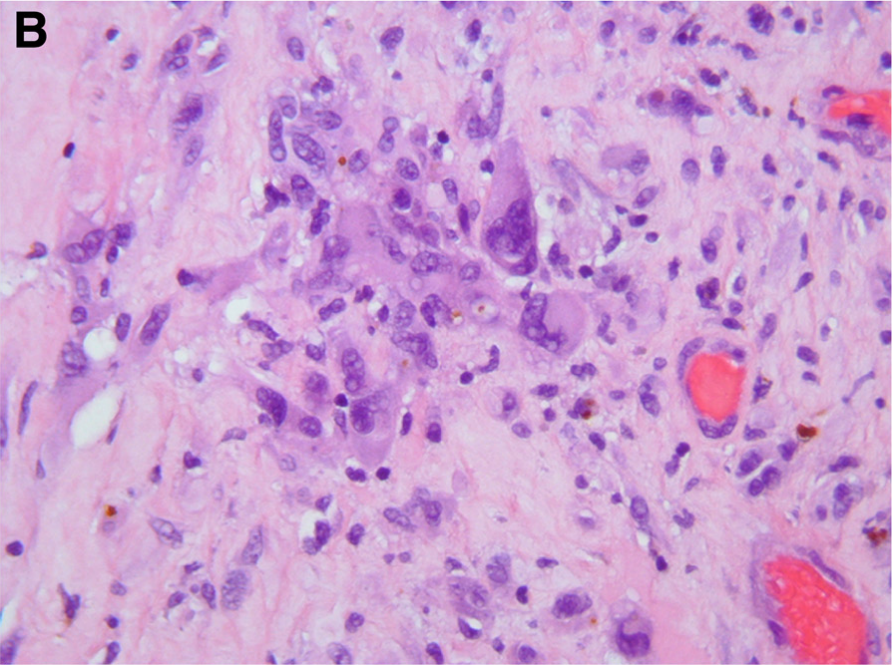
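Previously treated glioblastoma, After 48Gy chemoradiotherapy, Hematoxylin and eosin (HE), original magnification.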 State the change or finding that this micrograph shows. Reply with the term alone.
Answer: Nuclear pleomorphism.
